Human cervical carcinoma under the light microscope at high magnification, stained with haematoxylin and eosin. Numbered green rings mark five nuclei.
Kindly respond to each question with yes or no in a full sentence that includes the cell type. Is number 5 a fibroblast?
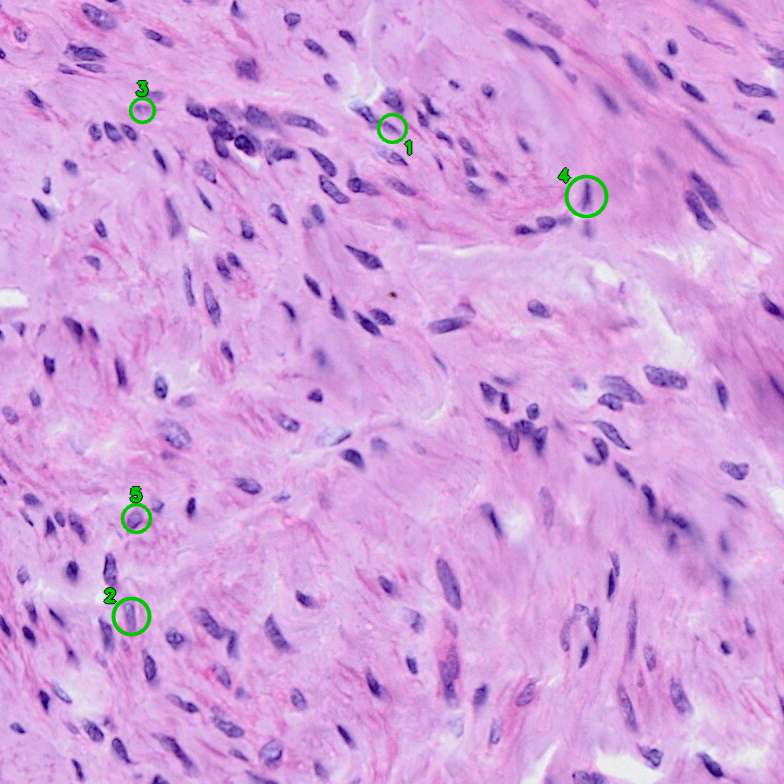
No, cell number 5 is a smooth muscle cell; it is not a fibroblast.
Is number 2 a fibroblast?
No, number 2 is not a fibroblast; it is a smooth muscle cell.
